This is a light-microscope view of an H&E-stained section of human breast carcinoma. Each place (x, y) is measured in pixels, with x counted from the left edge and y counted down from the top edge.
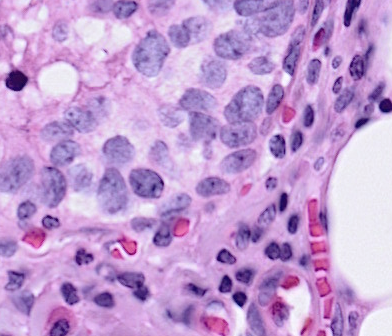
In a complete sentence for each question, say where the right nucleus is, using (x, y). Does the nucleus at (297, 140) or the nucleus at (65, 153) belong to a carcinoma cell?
The nucleus of a carcinoma cell is the one found at (65, 153), not the other.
